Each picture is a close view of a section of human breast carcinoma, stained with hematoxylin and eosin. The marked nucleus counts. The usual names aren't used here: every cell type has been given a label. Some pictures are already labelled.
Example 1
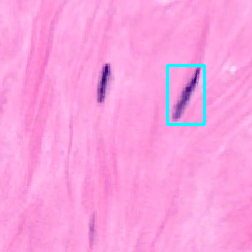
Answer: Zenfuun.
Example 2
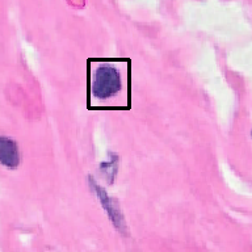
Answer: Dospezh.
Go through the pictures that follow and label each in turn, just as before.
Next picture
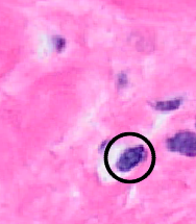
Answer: Dospezh.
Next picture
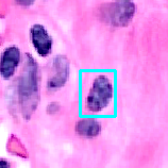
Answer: Dospezh.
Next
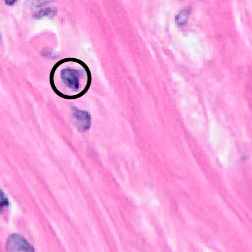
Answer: Dospezh.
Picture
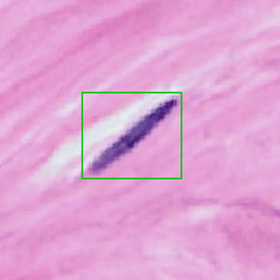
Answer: Zenfuun.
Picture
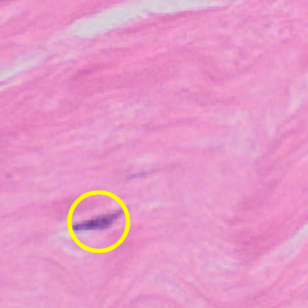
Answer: Zenfuun.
